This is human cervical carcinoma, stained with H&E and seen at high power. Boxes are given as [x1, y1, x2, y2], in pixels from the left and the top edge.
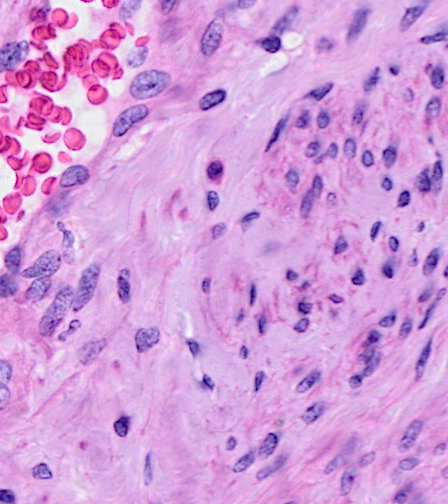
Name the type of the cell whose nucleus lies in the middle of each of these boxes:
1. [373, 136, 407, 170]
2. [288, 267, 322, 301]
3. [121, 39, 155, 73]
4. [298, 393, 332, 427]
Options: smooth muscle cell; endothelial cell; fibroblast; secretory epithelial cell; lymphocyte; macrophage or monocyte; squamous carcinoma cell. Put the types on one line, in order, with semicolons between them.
smooth muscle cell; smooth muscle cell; endothelial cell; smooth muscle cell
